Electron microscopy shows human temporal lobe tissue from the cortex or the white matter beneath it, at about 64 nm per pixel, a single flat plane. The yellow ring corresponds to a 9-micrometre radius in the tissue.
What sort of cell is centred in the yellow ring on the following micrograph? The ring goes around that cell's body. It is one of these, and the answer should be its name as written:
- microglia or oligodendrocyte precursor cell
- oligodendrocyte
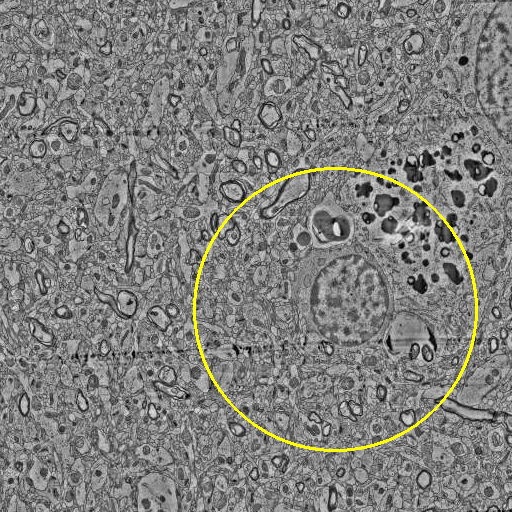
oligodendrocyte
